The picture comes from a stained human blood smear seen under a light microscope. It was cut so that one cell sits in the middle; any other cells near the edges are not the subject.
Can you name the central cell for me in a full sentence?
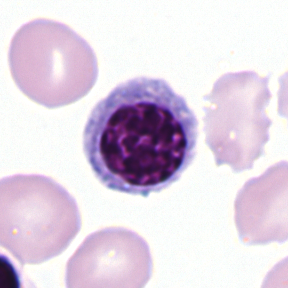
In the central position of this crop, the cell is a normoblast.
